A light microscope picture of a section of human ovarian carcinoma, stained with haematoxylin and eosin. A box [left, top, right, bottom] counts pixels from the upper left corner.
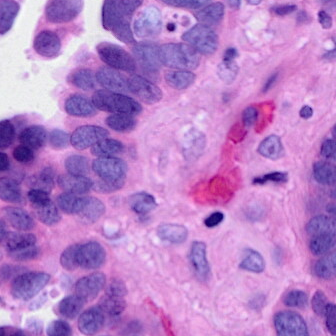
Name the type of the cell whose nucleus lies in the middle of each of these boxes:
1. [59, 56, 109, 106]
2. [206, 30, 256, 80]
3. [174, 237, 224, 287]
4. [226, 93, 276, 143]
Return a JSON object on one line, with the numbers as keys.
{"1": "carcinoma cell", "2": "lymphocyte", "3": "fibroblast", "4": "endothelial cell"}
